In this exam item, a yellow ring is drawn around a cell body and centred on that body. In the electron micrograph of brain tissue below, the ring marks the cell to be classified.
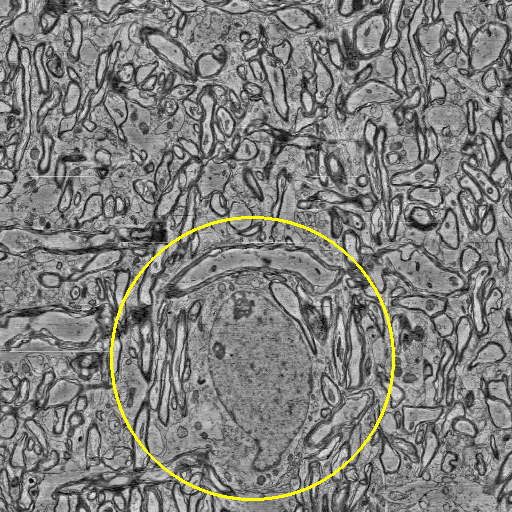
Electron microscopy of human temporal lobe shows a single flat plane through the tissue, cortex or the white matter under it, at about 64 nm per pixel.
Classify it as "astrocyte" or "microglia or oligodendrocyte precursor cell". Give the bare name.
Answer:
astrocyte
